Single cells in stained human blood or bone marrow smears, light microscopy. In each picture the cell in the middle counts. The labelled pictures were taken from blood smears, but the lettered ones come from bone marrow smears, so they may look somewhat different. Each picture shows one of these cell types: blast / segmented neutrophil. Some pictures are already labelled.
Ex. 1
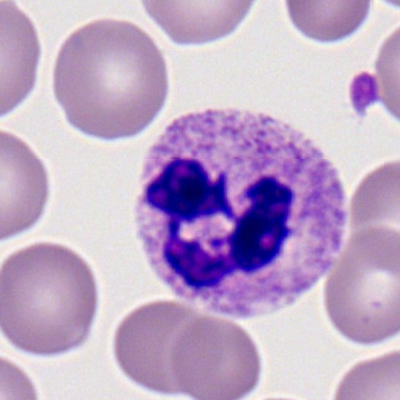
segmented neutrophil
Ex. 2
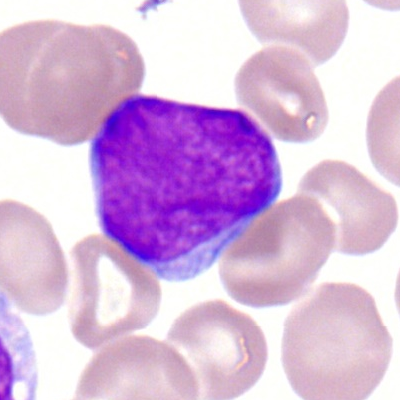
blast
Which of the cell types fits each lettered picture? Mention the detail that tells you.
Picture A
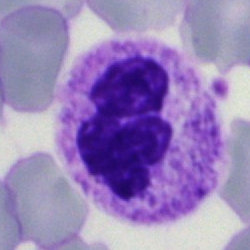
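segmented neutrophil: Abundant pale pinkish-lilac cytoplasm surrounds the nucleus on all sides.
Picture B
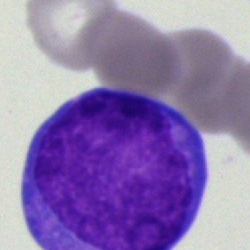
blast: The cytoplasm forms only a thin rim around the nucleus.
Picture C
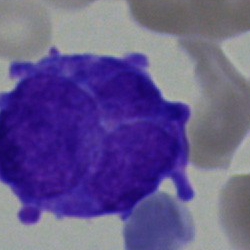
blast: The cytoplasm forms only a scant rim that stains deep blue-purple like the nucleus.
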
